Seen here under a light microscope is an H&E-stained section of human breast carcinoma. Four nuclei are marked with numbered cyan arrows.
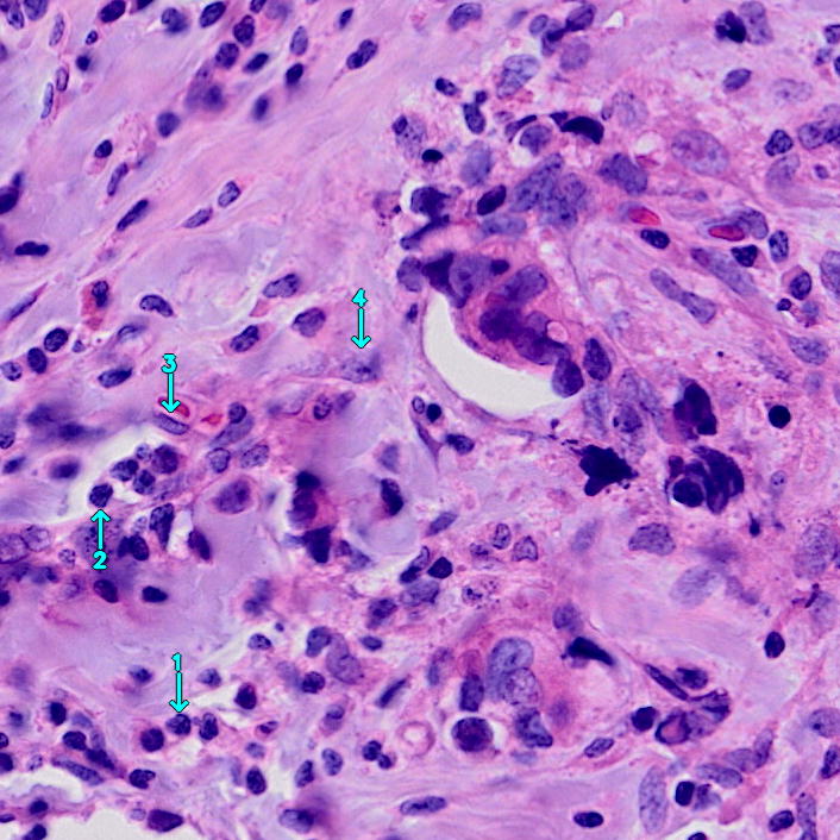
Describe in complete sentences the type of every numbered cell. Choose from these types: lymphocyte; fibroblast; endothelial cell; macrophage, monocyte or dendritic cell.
Cells 1 and 2 are lymphocytes. Cell 3 is an endothelial cell. Cell 4 is a fibroblast.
